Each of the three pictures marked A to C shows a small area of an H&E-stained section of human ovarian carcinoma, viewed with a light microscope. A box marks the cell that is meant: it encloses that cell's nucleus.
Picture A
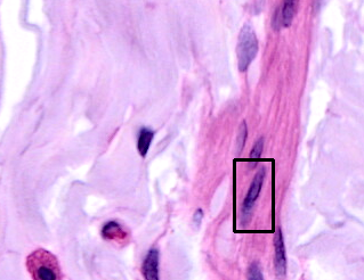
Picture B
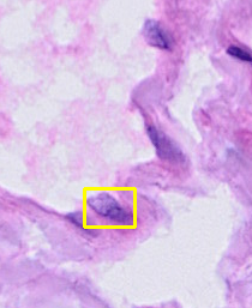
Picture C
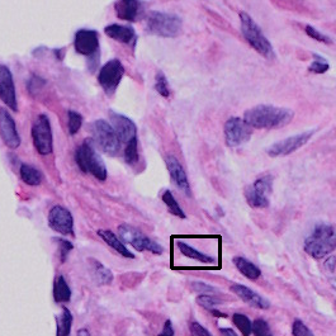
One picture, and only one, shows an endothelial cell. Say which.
B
